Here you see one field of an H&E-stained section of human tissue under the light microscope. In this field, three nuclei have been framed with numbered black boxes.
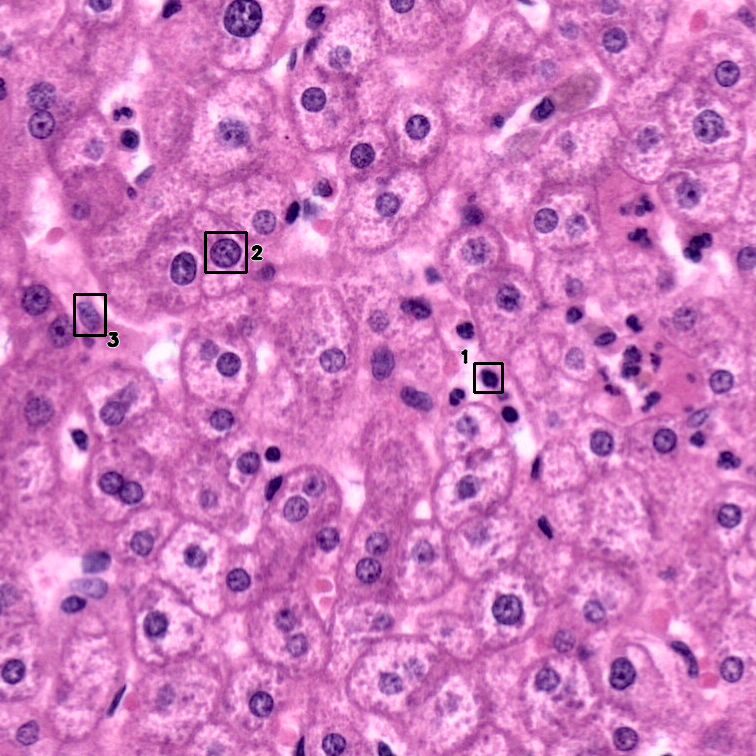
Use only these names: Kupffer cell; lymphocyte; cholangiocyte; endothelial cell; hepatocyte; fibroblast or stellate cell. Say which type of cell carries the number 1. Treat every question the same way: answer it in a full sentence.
Among the marked cells, number 1 is a lymphocyte.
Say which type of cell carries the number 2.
In the marked set, the cell given number 2 is a hepatocyte.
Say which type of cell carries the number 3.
The cell marked with number 3 is a Kupffer cell.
